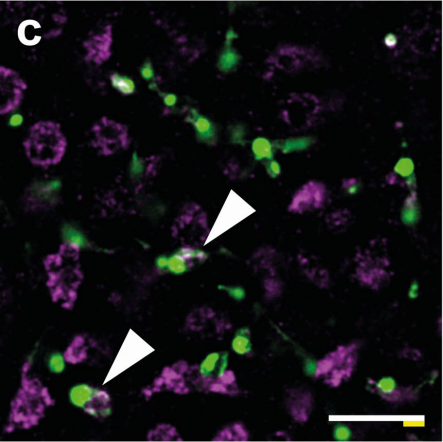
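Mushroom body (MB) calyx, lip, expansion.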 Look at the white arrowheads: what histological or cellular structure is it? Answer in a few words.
ring-like structure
